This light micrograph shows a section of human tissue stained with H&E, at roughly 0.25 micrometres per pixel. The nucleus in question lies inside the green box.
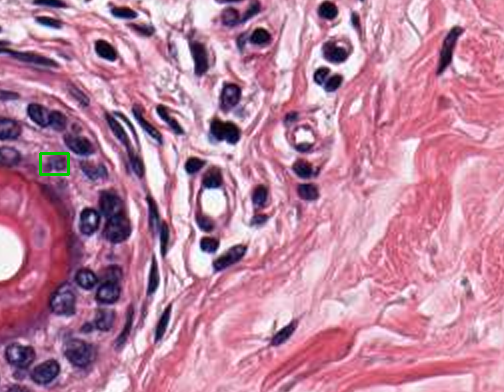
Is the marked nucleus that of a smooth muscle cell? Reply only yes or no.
no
